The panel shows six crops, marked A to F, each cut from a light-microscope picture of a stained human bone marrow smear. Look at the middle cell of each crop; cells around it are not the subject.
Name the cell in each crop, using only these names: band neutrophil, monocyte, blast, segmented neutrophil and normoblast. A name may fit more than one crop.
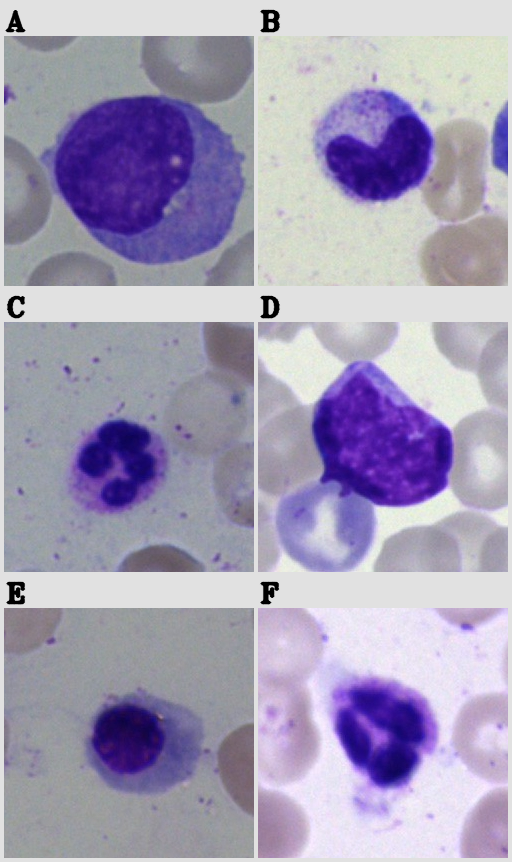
A: monocyte
B: band neutrophil
C: segmented neutrophil
D: blast
E: normoblast
F: segmented neutrophil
